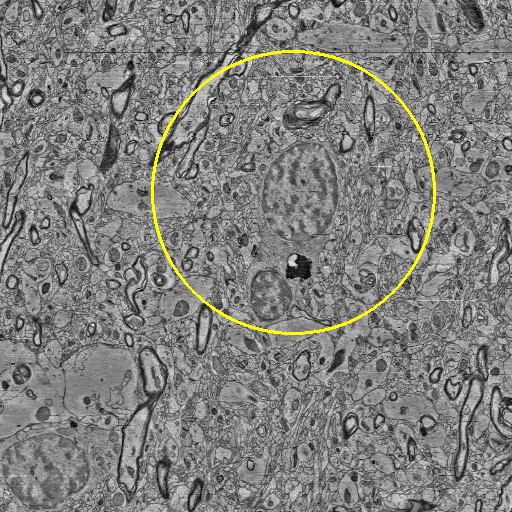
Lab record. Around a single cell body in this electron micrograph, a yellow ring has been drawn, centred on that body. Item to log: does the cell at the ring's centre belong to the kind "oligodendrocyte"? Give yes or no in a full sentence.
Yes, in the micrograph, the ringed cell at the centre belongs to that kind.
